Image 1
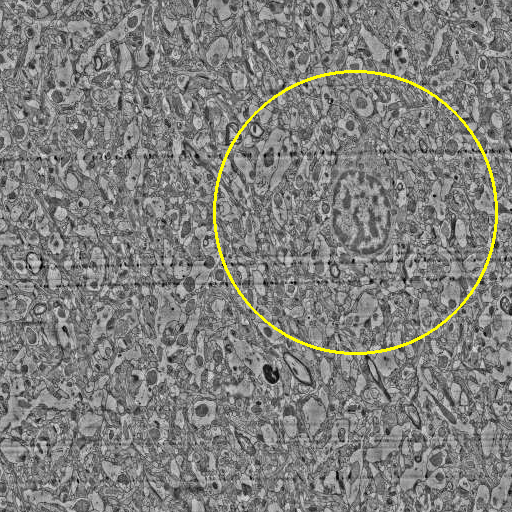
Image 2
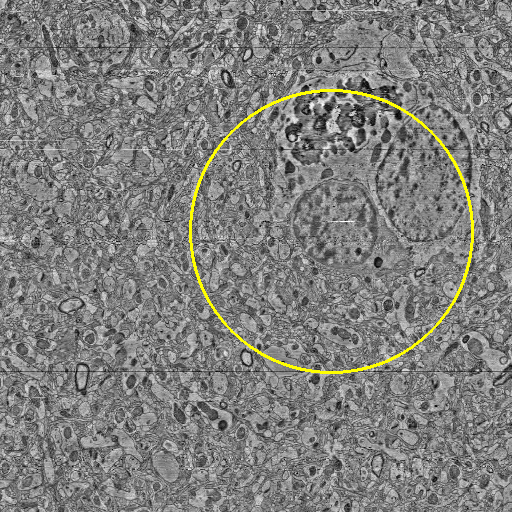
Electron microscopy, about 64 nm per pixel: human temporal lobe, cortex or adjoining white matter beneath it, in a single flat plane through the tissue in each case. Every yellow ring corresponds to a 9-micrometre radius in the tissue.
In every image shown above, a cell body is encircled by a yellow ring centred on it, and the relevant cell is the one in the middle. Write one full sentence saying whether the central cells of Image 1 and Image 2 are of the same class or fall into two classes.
The cell at the ring's centre in Image 1 and its counterpart in Image 2 are of the same class.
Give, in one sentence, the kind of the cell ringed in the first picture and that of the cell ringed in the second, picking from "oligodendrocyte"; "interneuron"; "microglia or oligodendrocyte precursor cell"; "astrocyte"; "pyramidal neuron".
The cell in the first picture is an oligodendrocyte, and so is the one in the second.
